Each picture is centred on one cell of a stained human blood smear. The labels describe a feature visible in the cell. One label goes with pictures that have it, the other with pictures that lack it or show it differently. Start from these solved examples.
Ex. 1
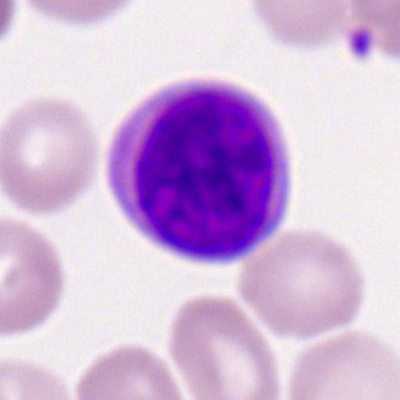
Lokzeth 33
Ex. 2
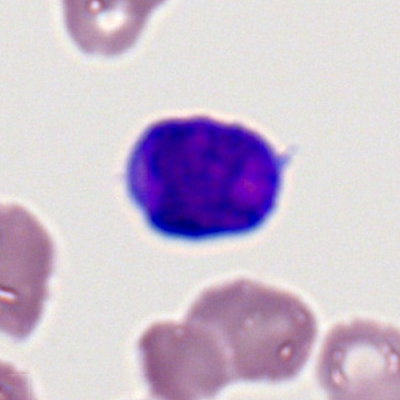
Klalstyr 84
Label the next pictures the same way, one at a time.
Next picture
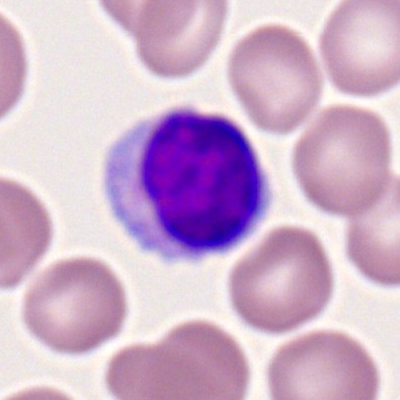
Klalstyr 84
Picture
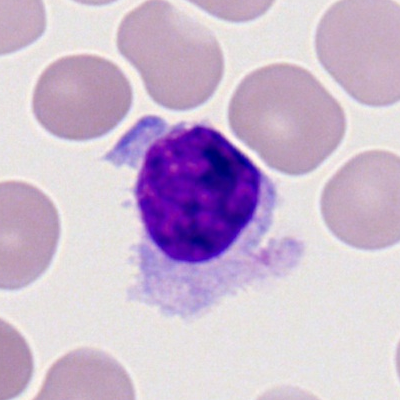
Klalstyr 84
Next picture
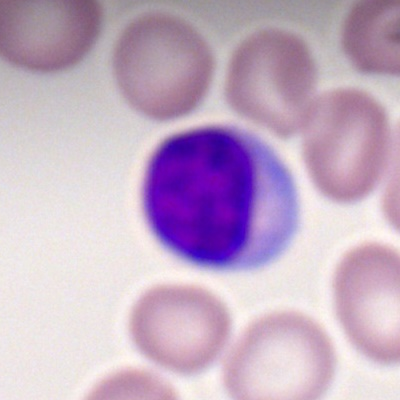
Lokzeth 33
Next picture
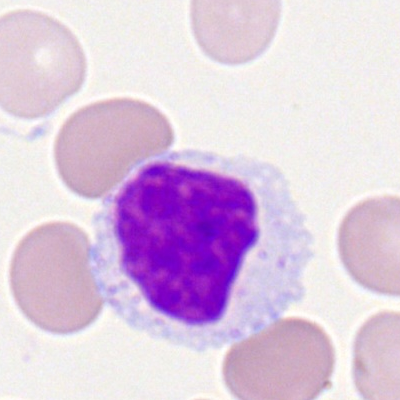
Klalstyr 84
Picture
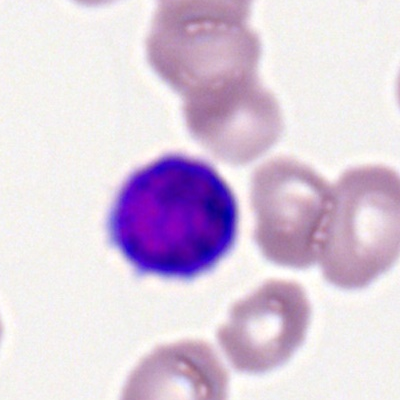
Klalstyr 84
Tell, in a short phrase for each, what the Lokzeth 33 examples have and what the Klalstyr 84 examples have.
In Lokzeth 33: smooth outline. In Klalstyr 84: ragged outline or projections.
